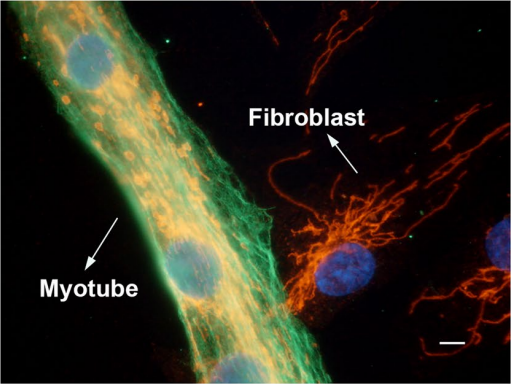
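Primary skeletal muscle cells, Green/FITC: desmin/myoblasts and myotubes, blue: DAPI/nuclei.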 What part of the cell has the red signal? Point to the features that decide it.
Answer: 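Mitochondria. In the lone cell at right the red signal forms long, thread-like, branching filaments radiating around the nucleus. Within the elongated green cell the red-orange signal forms many small rounded bodies in the cytoplasm.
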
